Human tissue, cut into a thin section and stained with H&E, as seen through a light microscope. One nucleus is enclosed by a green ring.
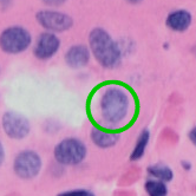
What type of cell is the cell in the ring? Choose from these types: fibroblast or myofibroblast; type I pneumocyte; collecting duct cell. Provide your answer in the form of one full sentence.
In cell-type terms, the cell in the ring is a collecting duct cell.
